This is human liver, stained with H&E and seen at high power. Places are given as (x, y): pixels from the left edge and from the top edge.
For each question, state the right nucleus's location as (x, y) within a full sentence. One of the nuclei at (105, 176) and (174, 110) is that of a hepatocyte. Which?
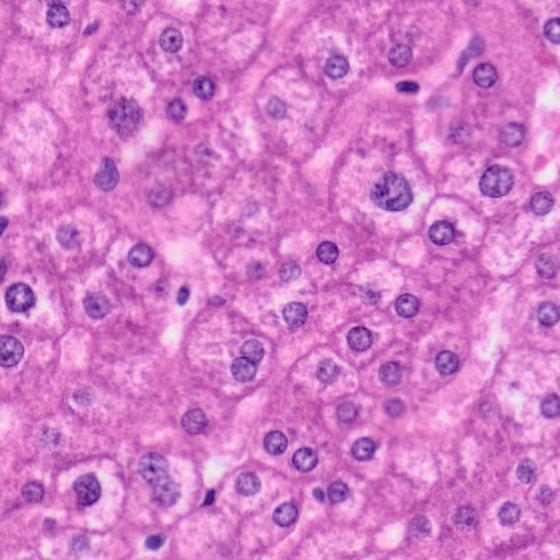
Among the two, the nucleus at (174, 110) is the nucleus of a hepatocyte.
